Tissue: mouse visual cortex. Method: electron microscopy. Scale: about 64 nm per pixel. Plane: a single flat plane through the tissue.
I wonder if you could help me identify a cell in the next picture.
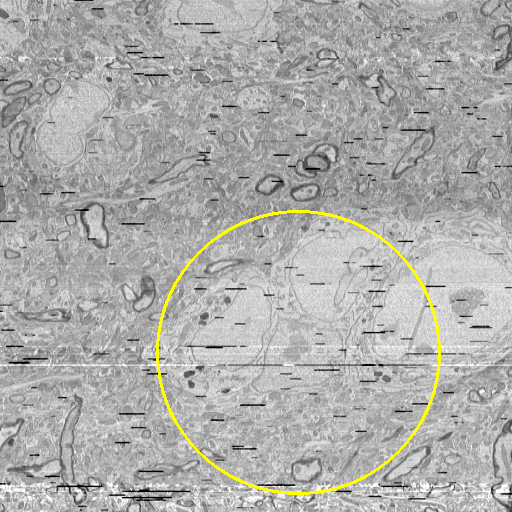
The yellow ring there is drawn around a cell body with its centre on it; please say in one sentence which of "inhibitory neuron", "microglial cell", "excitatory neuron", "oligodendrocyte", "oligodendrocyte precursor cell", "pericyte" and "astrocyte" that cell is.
The yellow ring is centred on an oligodendrocyte precursor cell.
